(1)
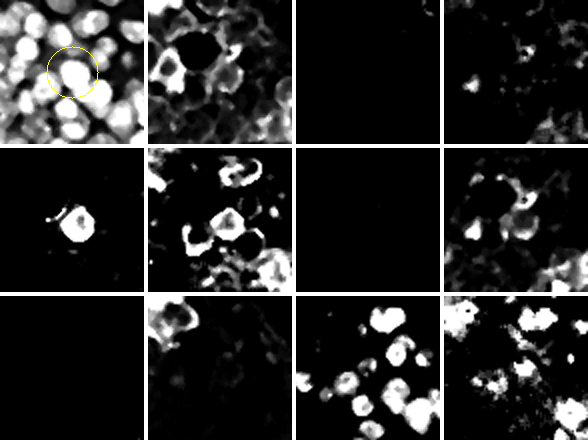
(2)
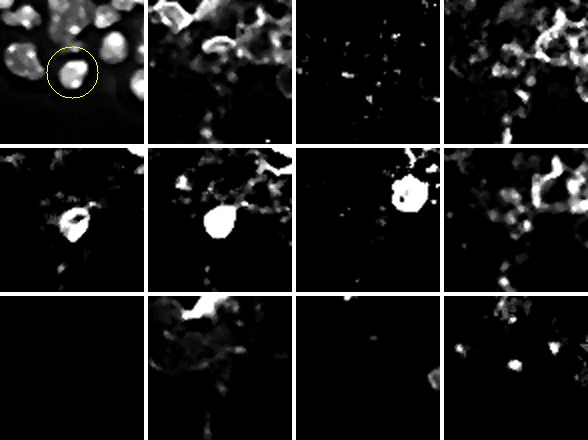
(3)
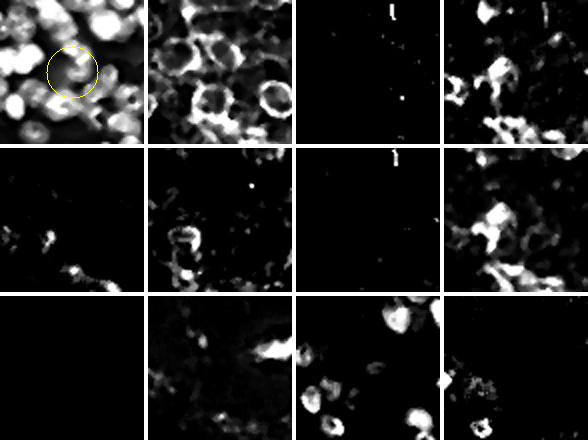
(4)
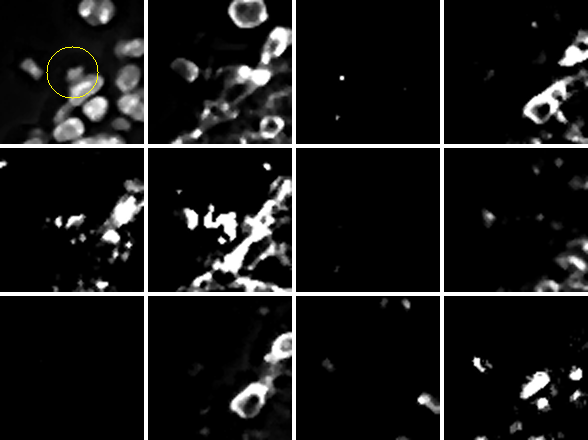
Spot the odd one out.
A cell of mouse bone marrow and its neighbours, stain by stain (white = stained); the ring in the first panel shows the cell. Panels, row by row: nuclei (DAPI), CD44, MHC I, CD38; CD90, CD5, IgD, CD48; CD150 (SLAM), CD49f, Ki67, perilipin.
Picture 3 (an erythroblast among T cells).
